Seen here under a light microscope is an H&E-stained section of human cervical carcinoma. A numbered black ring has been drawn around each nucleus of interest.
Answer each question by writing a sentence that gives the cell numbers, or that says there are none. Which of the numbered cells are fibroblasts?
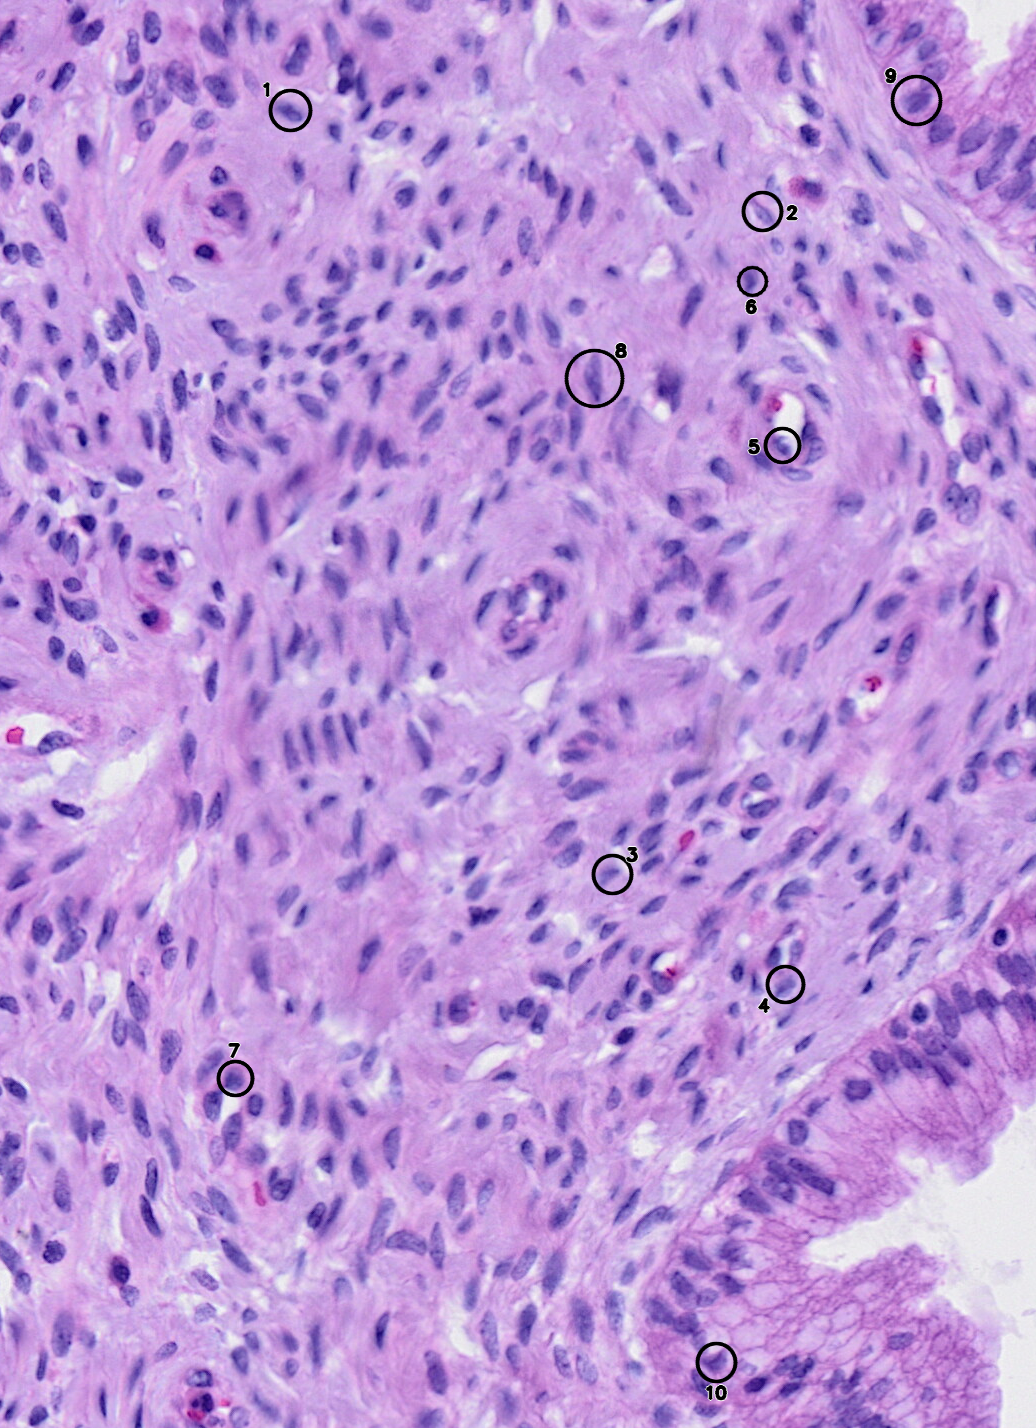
Here, the cells that carry numbers 1, 2, 3, 4, 6 and 8 are fibroblasts.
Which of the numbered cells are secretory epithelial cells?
In this section, the cells labelled 9 and 10 are secretory epithelial cells.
